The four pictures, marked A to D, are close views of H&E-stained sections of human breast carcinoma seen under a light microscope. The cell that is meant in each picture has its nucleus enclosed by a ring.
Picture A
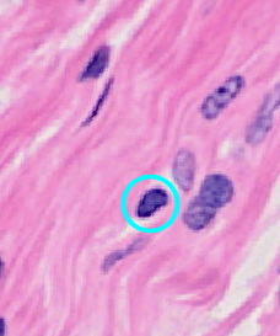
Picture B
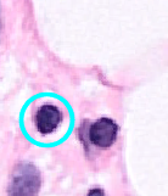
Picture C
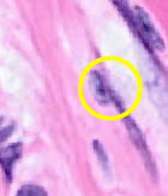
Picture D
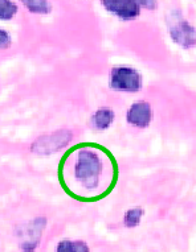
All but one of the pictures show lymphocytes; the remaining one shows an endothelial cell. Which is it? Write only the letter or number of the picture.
C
